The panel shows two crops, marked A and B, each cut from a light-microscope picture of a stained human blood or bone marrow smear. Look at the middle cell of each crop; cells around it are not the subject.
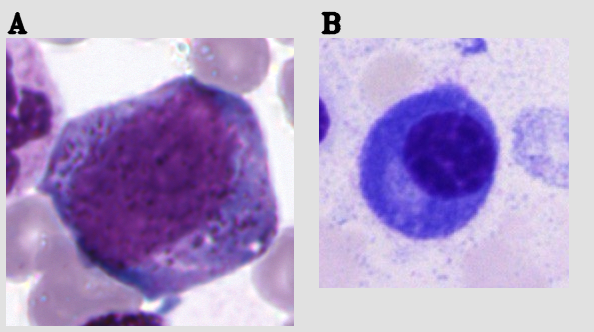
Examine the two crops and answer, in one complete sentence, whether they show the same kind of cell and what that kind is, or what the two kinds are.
No, shown in crop A is a promyelocyte, and shown in crop B is a plasma cell.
